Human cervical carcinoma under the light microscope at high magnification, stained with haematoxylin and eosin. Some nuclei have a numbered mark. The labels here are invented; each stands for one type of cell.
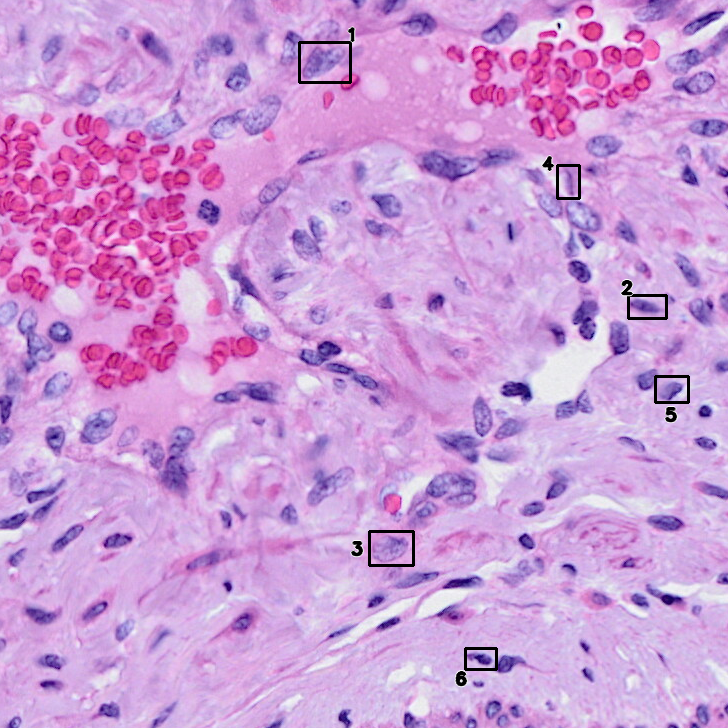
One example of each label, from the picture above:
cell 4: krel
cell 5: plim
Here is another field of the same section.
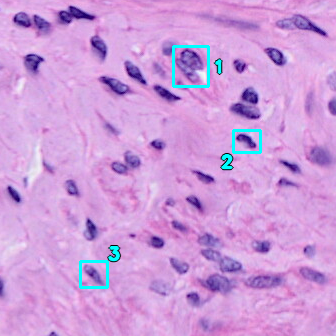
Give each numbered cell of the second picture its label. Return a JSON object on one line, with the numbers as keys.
{"1": "krel", "2": "plim", "3": "plim"}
